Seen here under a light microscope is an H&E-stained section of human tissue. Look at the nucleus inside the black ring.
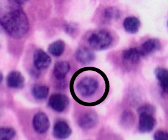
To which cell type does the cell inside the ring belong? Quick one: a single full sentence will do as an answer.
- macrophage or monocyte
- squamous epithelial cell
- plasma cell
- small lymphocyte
The identity of the cell inside the ring: it is a plasma cell.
